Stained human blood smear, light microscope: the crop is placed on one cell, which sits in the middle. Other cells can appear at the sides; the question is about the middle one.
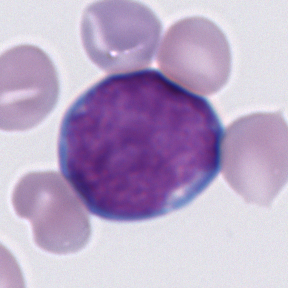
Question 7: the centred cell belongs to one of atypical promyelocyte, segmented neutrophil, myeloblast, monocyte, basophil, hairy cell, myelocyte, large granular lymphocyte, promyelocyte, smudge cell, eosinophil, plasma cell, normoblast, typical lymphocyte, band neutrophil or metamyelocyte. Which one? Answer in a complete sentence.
The crop centres on a single cell, and that cell is a myeloblast.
